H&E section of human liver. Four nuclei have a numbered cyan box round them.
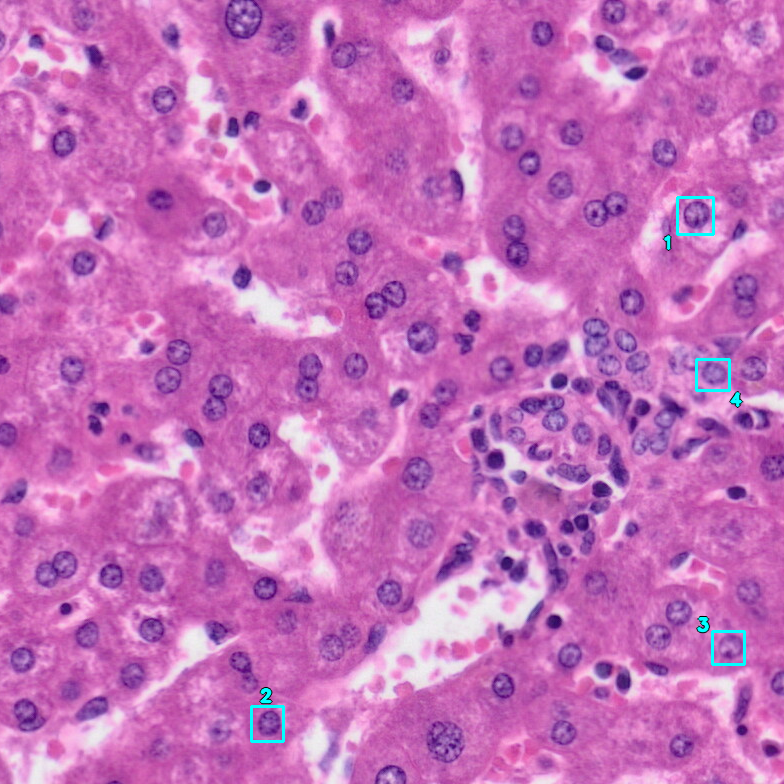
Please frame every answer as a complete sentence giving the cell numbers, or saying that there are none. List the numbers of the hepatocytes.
The identity of cells 1, 2 and 3: they are hepatocytes.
